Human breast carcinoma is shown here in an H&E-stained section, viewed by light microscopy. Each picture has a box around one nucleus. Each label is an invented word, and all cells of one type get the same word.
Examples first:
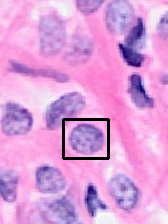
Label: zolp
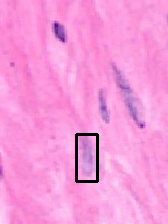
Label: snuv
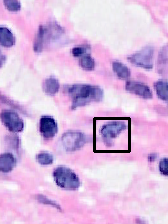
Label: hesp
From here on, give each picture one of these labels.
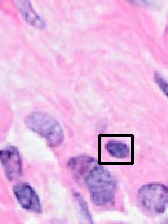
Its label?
hesp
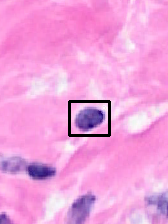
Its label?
hesp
